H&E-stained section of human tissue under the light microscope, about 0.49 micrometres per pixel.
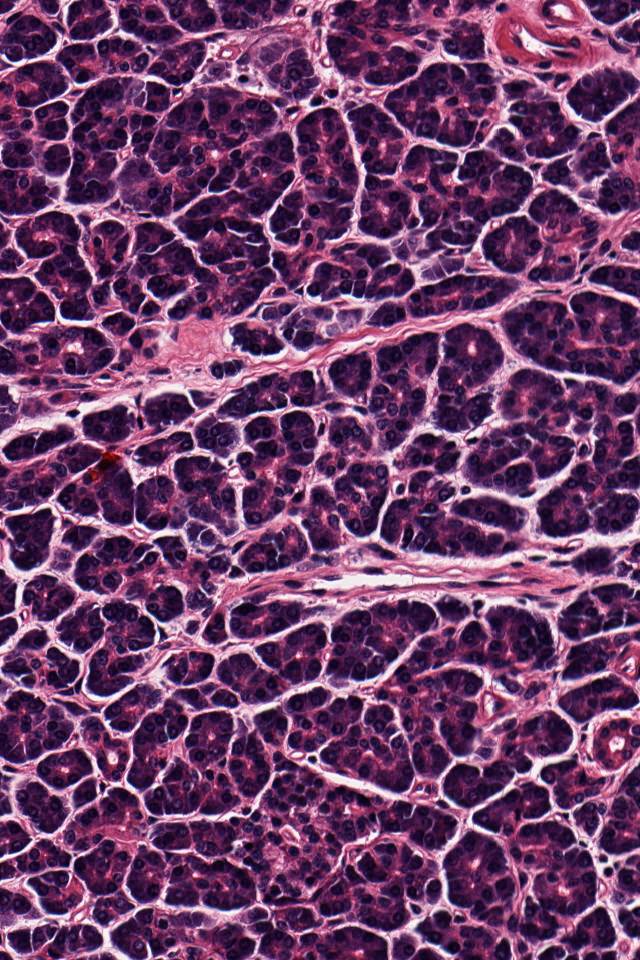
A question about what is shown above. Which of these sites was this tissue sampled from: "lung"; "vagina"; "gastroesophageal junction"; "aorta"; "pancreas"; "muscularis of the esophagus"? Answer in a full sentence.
The site this tissue was sampled from is the pancreas.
